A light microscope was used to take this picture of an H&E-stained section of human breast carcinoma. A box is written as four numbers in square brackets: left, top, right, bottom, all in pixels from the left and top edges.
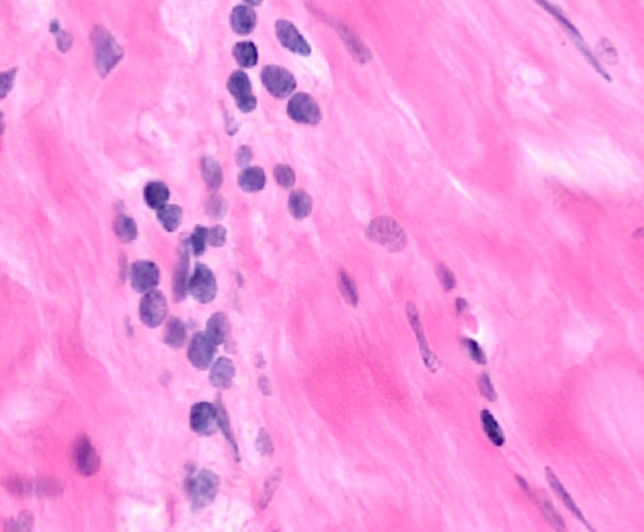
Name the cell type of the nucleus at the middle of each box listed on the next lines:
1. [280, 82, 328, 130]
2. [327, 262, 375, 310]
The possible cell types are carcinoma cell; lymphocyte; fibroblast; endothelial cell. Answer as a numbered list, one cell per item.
1. carcinoma cell
2. fibroblast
